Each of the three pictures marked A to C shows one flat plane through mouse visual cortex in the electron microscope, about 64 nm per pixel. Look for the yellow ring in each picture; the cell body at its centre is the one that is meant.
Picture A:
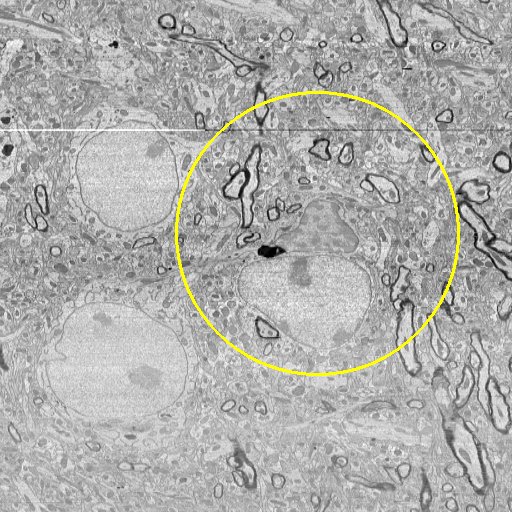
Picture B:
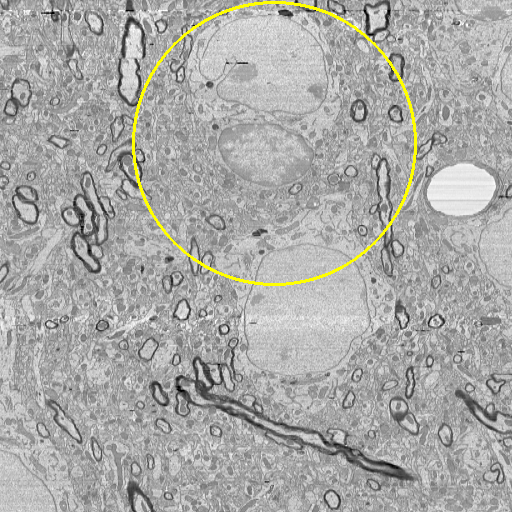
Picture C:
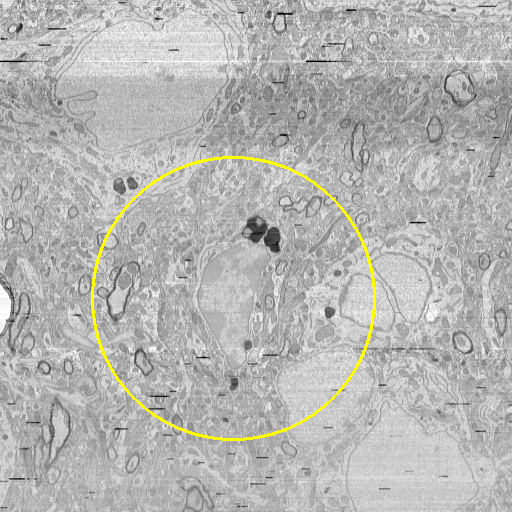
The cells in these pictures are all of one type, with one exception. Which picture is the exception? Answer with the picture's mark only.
B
